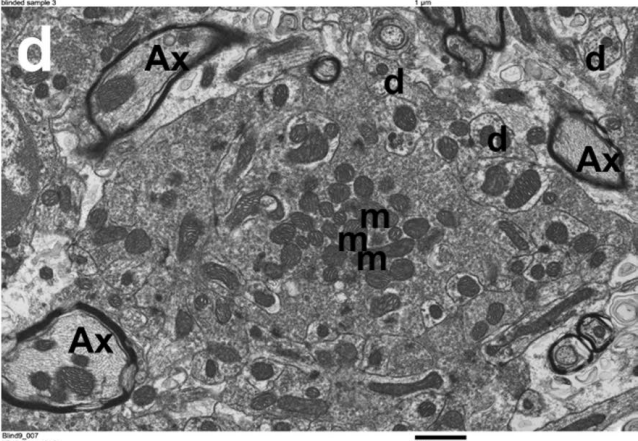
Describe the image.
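A central region is packed with many small, dark, oval mitochondria with visible cristae, and nearby dendrite profiles contain further mitochondria. Several axons are wrapped in thick, dark, concentric myelin sheaths and lie scattered among the pale neuropil.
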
